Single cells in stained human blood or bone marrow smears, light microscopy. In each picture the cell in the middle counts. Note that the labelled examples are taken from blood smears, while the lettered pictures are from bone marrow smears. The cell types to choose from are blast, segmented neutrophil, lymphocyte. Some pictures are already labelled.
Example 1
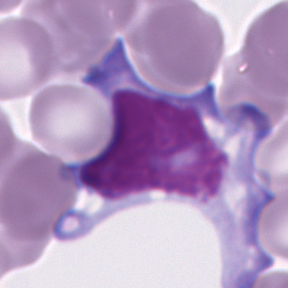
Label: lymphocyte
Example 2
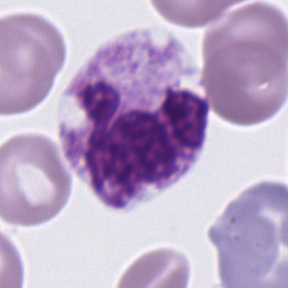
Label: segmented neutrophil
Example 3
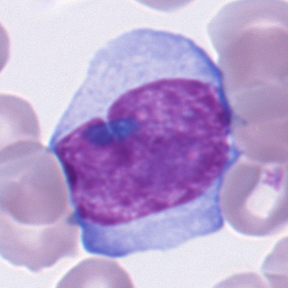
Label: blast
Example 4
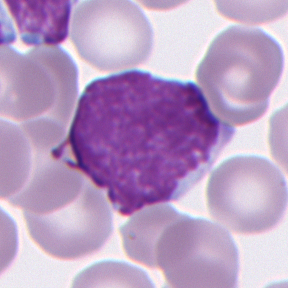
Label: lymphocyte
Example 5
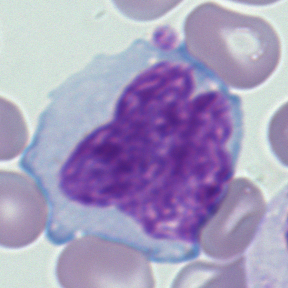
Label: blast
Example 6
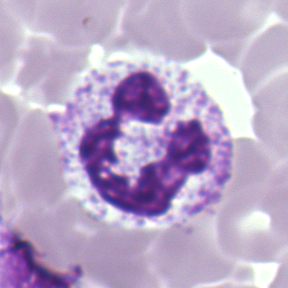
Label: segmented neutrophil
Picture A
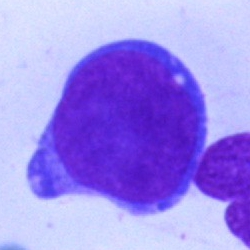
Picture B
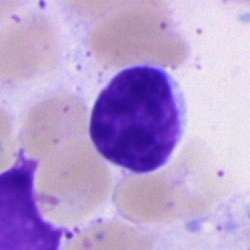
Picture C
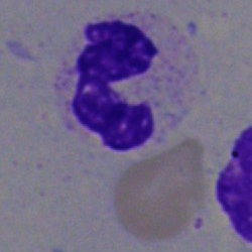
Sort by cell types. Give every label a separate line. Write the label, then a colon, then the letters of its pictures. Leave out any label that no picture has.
blast: A
segmented neutrophil: C
lymphocyte: B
